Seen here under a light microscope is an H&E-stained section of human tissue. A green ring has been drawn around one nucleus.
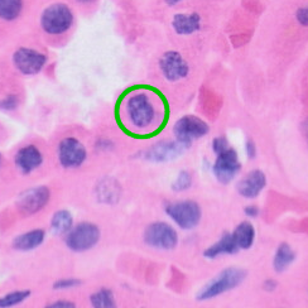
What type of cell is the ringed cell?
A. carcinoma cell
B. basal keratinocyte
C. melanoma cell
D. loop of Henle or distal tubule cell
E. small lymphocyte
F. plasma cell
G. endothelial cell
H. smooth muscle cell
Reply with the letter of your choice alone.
D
